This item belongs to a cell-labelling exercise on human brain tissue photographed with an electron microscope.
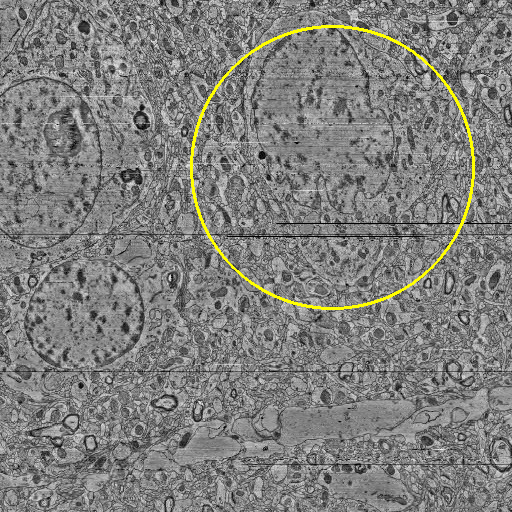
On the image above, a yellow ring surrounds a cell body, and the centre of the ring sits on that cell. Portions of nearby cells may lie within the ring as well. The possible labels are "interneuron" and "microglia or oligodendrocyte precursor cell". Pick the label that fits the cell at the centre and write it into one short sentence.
This cell should be labelled as an interneuron.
